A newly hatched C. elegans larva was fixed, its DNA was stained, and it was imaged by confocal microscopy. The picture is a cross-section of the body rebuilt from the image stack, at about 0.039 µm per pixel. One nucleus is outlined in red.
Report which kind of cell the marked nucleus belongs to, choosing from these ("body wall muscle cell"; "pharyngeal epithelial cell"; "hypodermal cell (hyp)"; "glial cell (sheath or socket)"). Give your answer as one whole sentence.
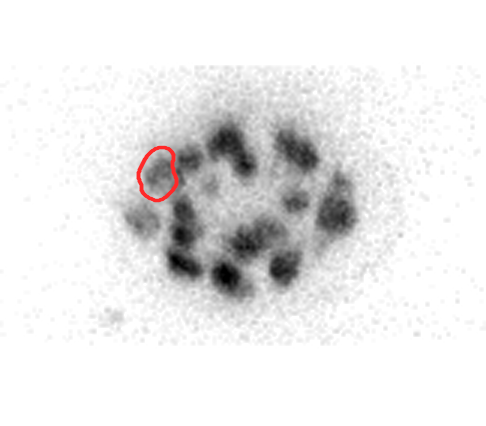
This nucleus is from a body wall muscle cell.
